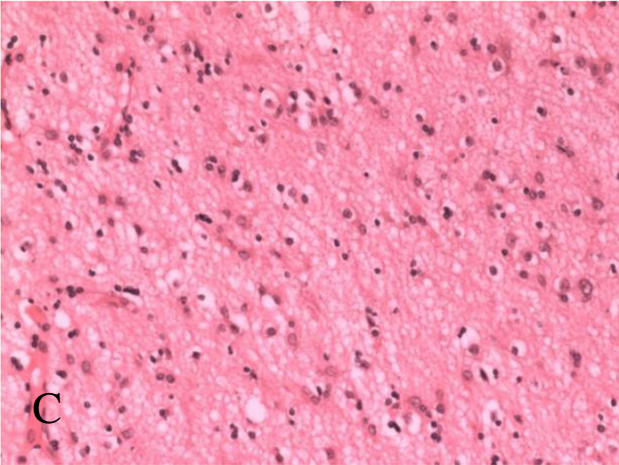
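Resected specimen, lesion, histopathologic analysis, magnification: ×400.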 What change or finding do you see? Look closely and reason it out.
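Gliosis. Pale pink, finely fibrillary and vacuolated background. Many scattered small round to oval nuclei spread fairly evenly through it. No foreign material or dense inflammatory clusters.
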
